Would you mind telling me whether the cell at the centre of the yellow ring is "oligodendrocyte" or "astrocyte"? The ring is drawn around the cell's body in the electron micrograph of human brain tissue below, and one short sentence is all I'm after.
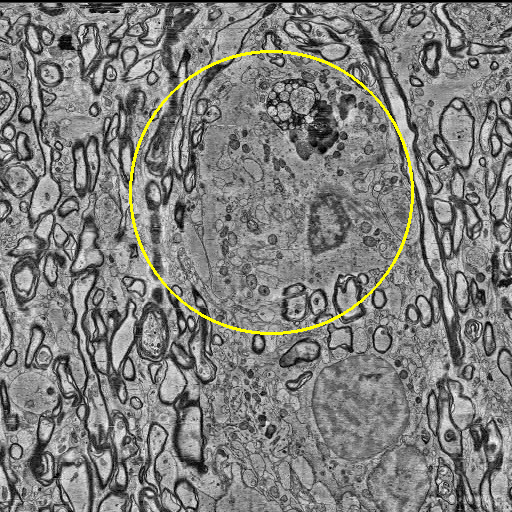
In the centre of the ring lies an astrocyte.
